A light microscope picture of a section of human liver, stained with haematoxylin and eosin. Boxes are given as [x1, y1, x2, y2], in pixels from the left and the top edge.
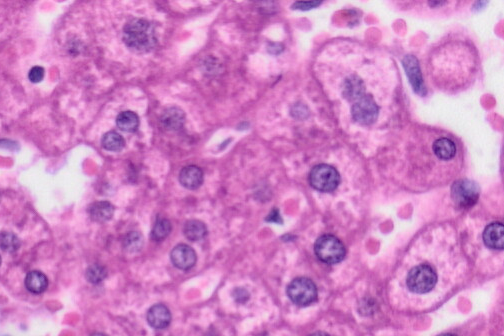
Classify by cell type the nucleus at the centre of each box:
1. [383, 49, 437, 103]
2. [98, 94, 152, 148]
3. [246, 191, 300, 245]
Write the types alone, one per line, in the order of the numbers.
Kupffer cell
hepatocyte
endothelial cell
